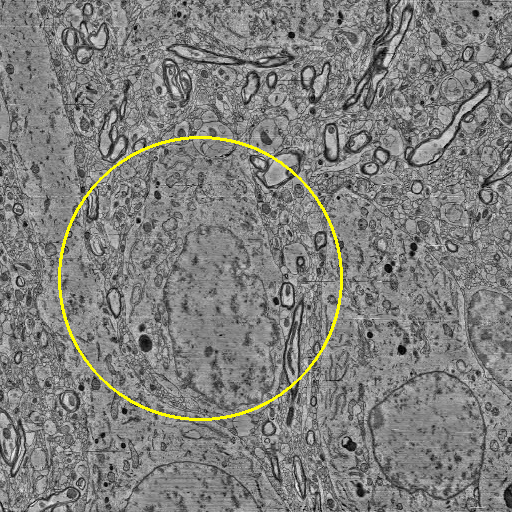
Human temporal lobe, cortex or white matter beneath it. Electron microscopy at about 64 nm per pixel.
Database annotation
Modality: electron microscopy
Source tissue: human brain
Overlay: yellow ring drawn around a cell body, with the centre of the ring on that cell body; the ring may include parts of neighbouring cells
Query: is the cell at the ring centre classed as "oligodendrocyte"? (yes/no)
no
